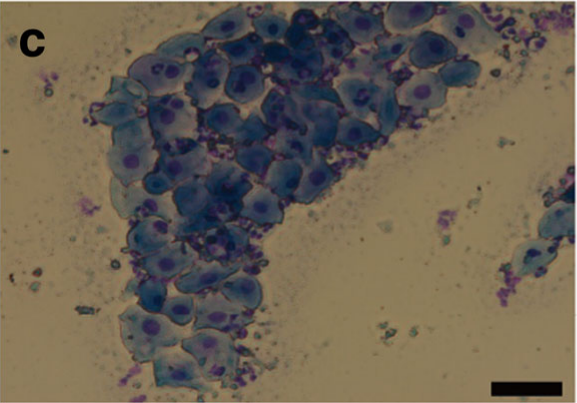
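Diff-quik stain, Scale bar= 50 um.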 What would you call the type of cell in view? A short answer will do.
Nucleated round epithelial cells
